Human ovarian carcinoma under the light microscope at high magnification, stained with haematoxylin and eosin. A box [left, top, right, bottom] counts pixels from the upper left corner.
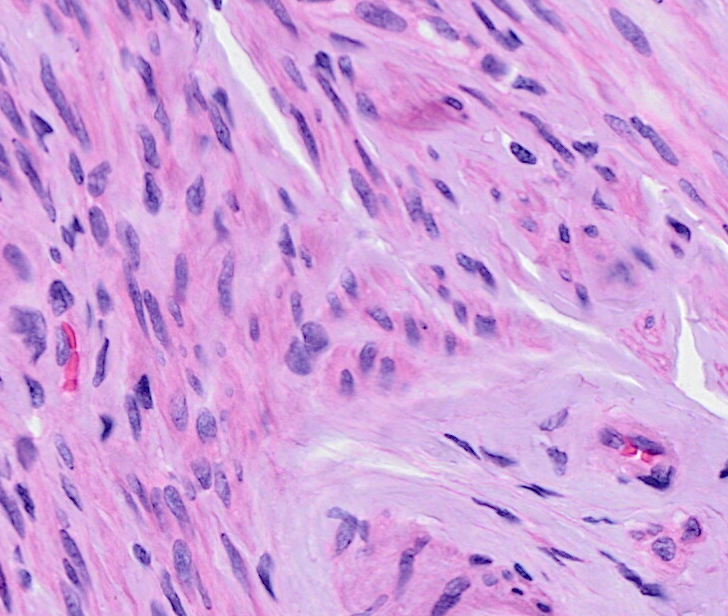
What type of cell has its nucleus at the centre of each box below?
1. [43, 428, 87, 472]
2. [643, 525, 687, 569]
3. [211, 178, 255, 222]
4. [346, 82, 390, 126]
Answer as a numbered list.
1. smooth muscle cell
2. endothelial cell
3. smooth muscle cell
4. smooth muscle cell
